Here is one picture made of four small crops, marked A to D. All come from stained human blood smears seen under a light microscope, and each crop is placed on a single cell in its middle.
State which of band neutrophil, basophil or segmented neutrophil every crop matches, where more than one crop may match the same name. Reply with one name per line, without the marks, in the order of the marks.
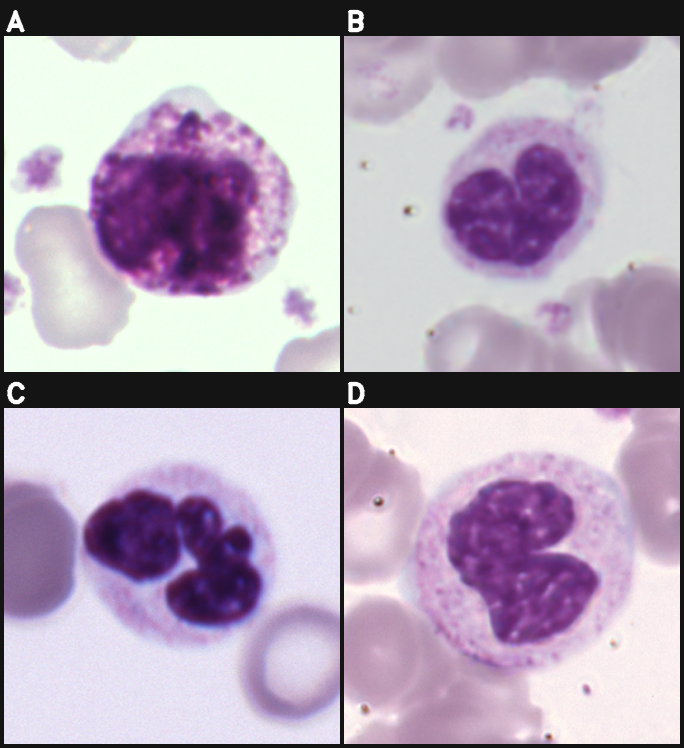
basophil
band neutrophil
segmented neutrophil
band neutrophil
